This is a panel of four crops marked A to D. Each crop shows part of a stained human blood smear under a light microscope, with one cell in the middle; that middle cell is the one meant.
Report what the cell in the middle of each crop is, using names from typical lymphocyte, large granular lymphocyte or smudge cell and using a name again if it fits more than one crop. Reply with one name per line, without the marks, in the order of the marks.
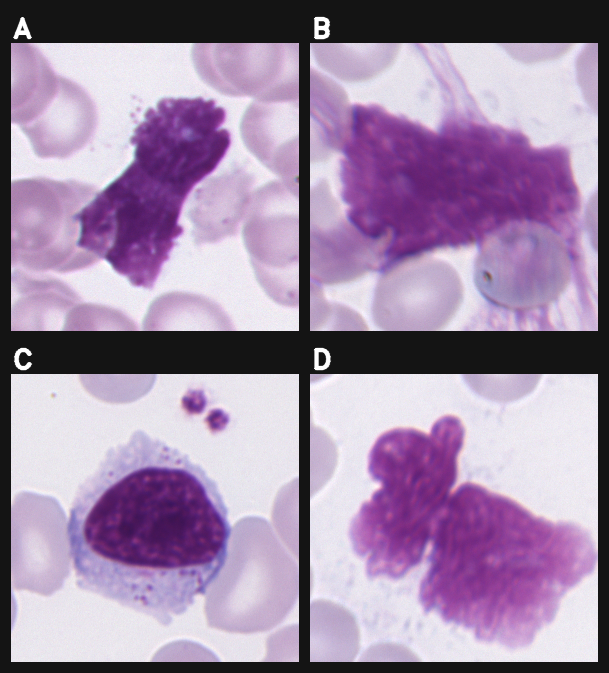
smudge cell
smudge cell
large granular lymphocyte
smudge cell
